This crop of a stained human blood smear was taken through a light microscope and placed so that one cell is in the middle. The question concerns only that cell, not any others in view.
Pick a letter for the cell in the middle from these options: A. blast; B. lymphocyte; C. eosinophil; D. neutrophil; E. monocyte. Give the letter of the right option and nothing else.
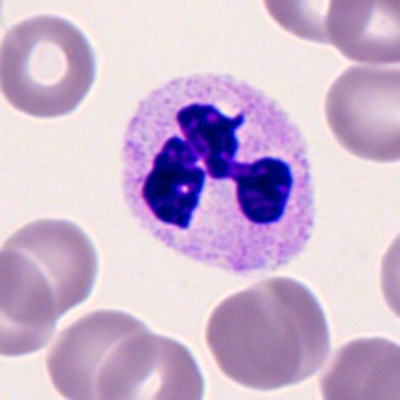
D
